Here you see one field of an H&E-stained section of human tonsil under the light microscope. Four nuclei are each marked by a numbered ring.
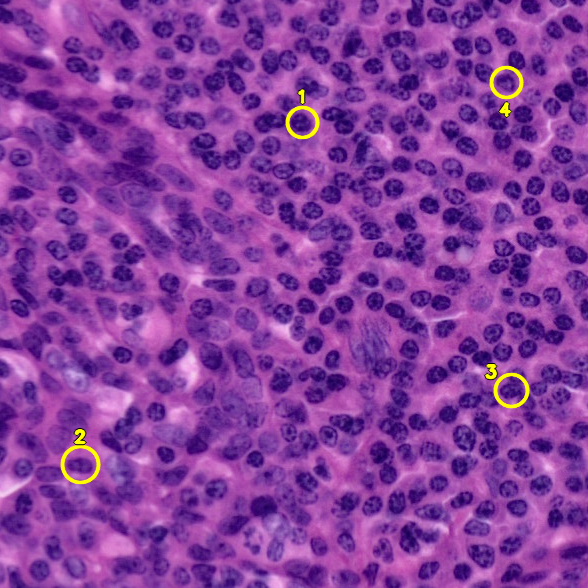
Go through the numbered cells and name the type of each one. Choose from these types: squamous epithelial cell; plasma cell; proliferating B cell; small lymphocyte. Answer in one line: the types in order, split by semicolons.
plasma cell; squamous epithelial cell; plasma cell; plasma cell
